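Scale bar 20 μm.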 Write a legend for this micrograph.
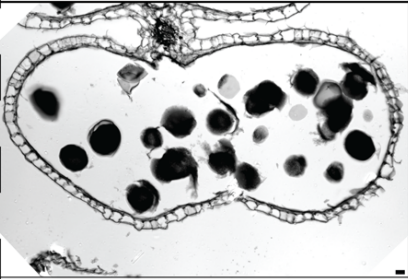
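This is a cross-section through a mature anther: a broad, two-lobed chamber whose wall is only a couple of cell layers thick, with no partition left between the lobes, so the space reads as one continuous cavity. At the top centre the wall joins a small mass of connective tissue with a darker core, from which the thin wall curves away to either side. The wall cells are small and boxy, forming a regular rim around the cavity.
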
